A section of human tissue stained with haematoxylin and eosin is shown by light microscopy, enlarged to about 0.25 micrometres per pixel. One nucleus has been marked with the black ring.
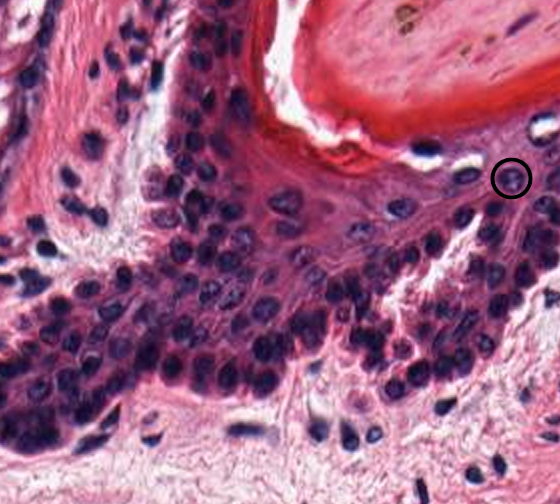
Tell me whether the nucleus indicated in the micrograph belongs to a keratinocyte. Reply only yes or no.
yes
